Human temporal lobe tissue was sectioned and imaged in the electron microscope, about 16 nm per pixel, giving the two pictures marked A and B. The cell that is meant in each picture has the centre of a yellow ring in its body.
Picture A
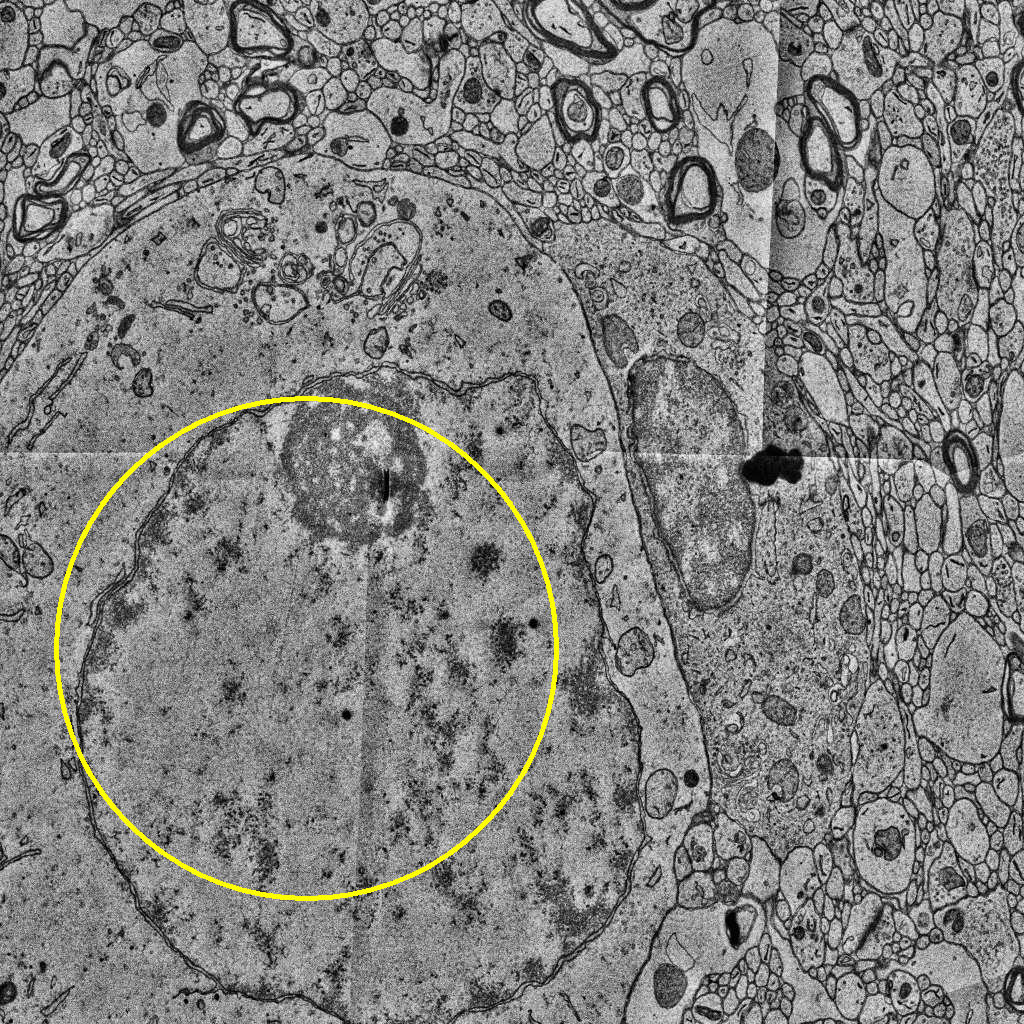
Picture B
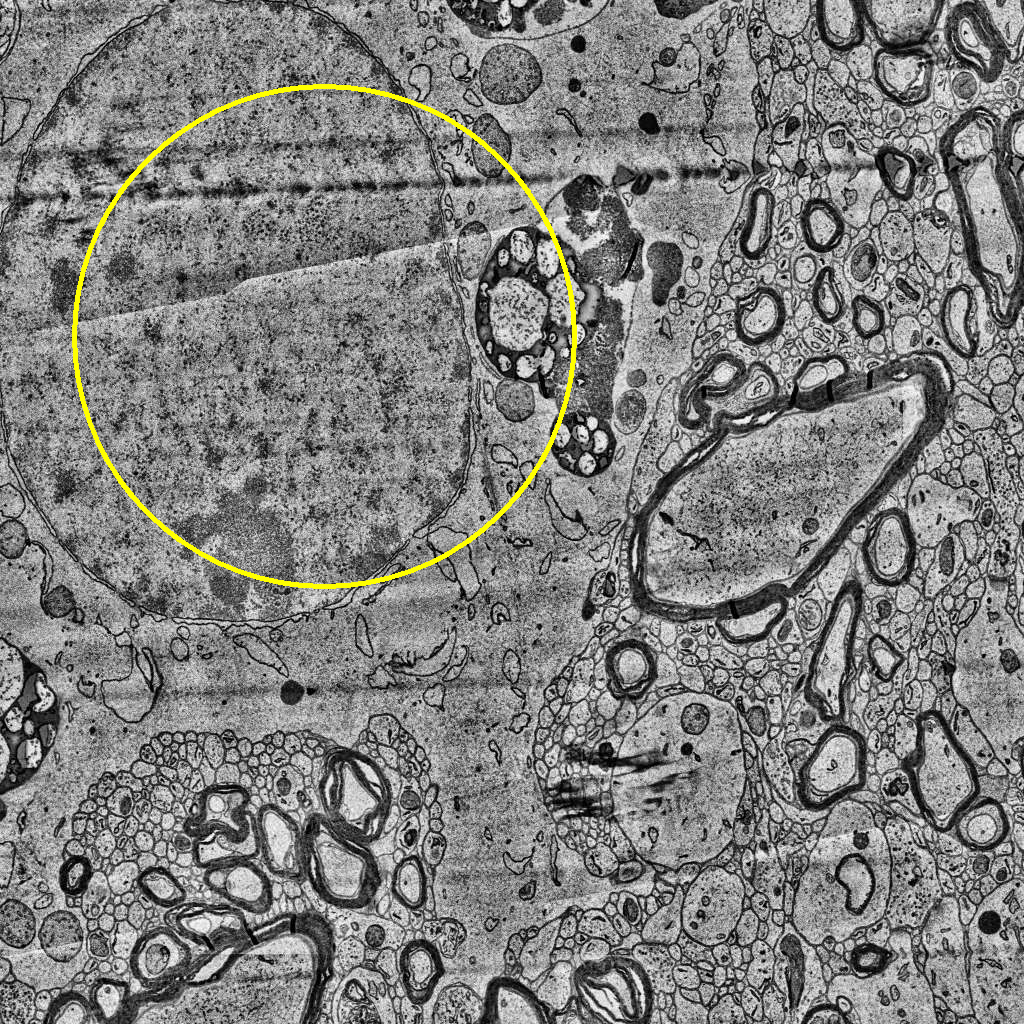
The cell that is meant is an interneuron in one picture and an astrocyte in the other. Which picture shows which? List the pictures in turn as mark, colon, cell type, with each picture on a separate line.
A: interneuron
B: astrocyte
